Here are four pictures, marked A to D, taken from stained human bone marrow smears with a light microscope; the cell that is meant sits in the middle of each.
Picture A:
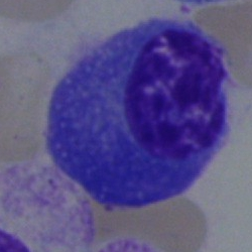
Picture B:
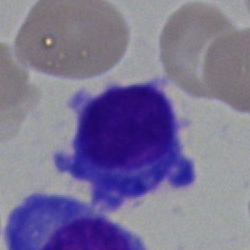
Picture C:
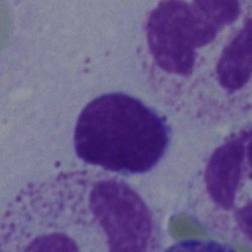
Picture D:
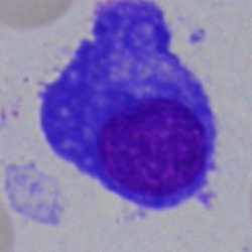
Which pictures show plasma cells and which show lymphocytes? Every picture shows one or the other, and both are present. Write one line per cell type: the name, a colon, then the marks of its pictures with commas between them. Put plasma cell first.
plasma cell: A, B, D
lymphocyte: C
